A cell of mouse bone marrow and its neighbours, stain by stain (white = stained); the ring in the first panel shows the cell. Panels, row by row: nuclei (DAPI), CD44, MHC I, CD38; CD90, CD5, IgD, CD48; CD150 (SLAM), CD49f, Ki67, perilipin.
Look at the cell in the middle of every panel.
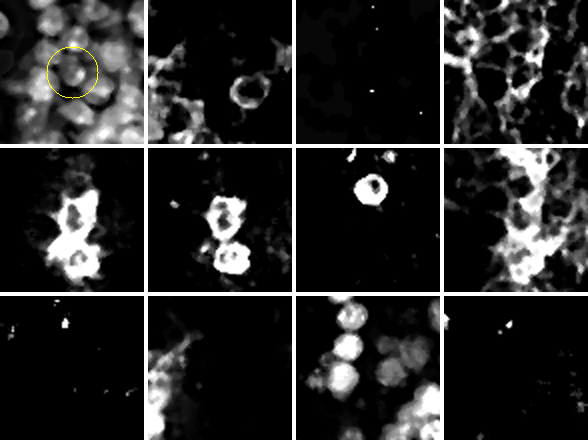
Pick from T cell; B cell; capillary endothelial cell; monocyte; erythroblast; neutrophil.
T cell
